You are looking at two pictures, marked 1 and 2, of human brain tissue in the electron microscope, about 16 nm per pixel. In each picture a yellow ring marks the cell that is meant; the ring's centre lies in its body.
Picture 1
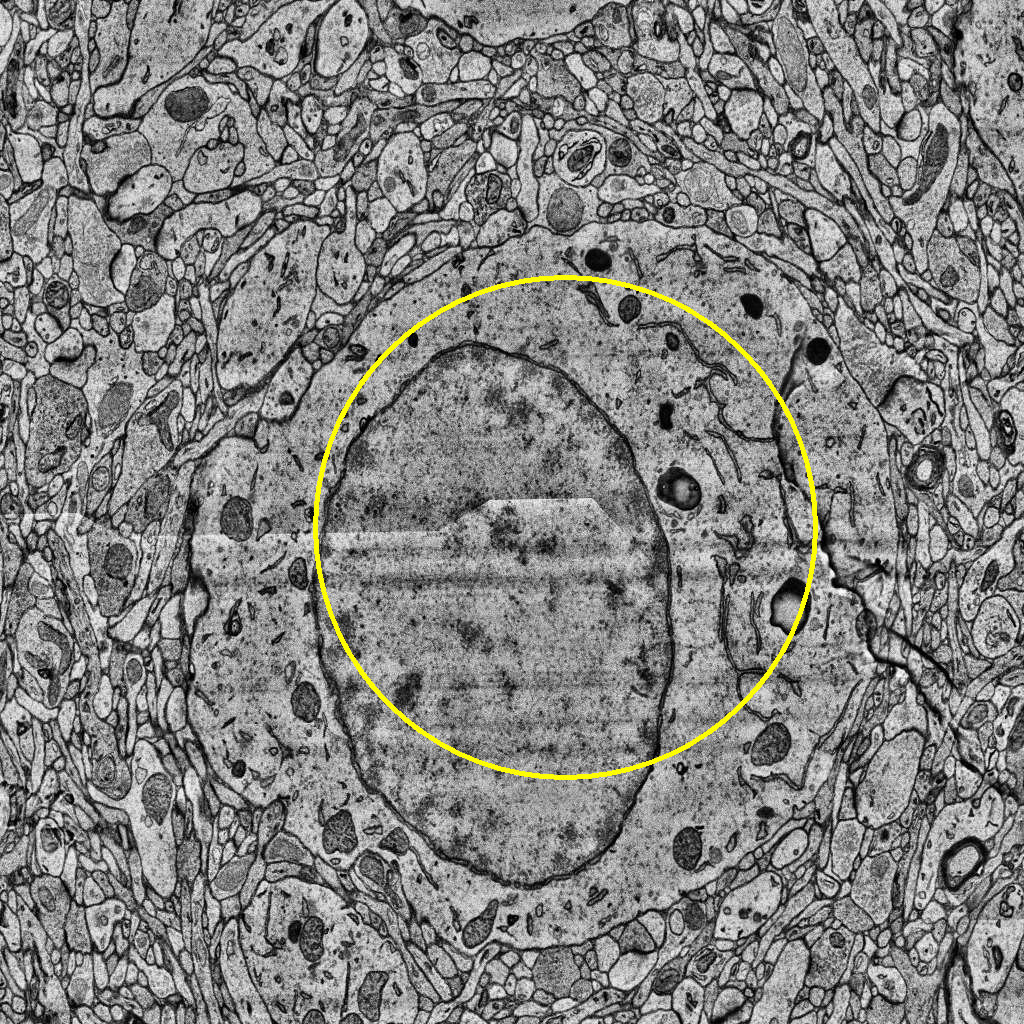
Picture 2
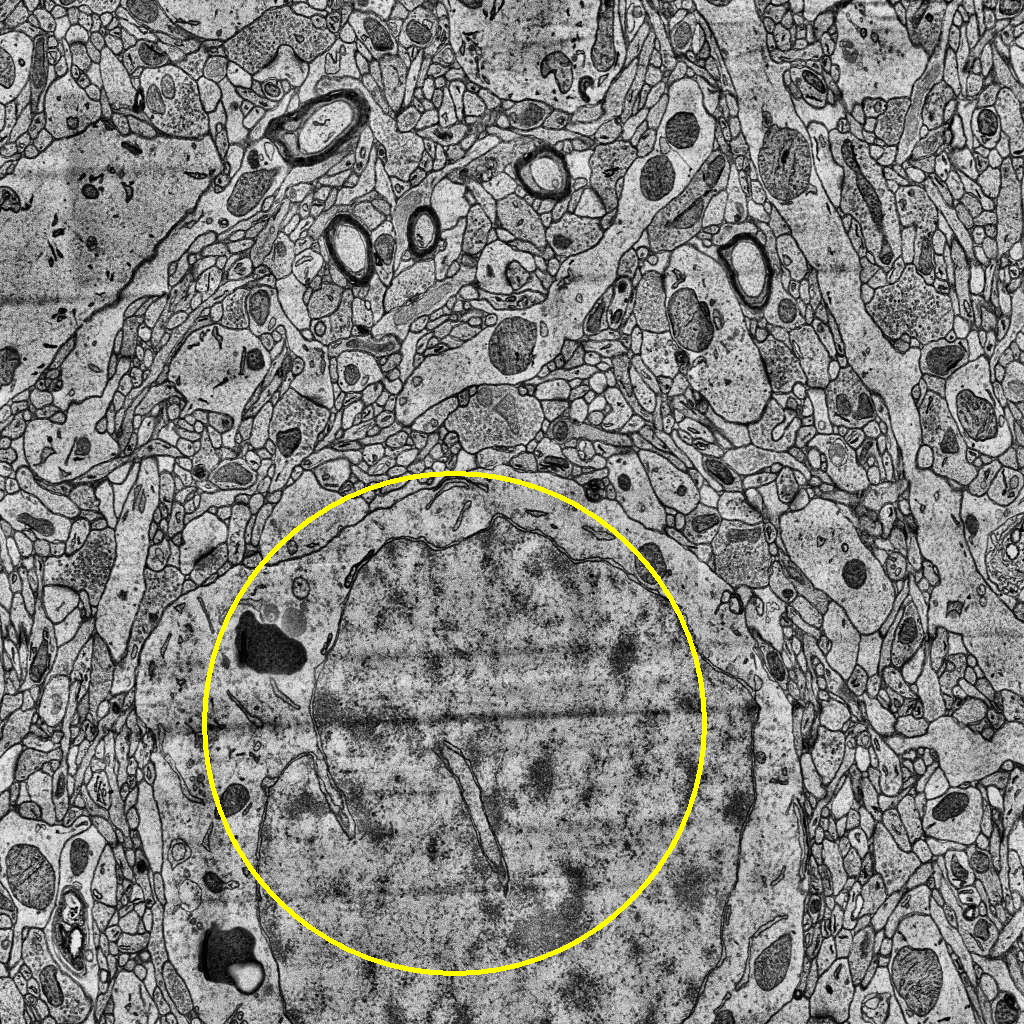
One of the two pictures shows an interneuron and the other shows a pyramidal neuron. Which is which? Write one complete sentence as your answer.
Picture 1 is of a pyramidal neuron, and picture 2 is of an interneuron.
